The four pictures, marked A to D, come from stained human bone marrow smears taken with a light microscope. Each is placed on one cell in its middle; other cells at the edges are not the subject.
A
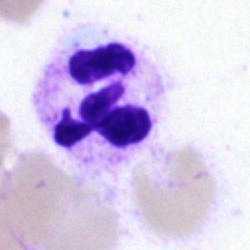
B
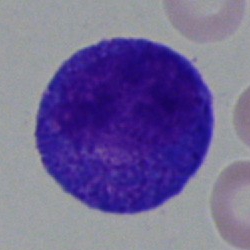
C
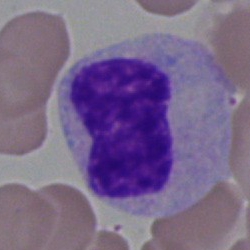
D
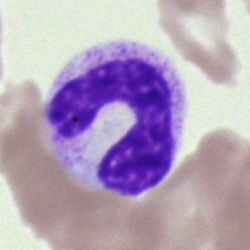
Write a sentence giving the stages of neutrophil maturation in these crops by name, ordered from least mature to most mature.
In terms of maturity, from least to most, the order is crop B (a promyelocyte), crop C (a metamyelocyte), crop D (a band neutrophil) and crop A (a segmented neutrophil).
